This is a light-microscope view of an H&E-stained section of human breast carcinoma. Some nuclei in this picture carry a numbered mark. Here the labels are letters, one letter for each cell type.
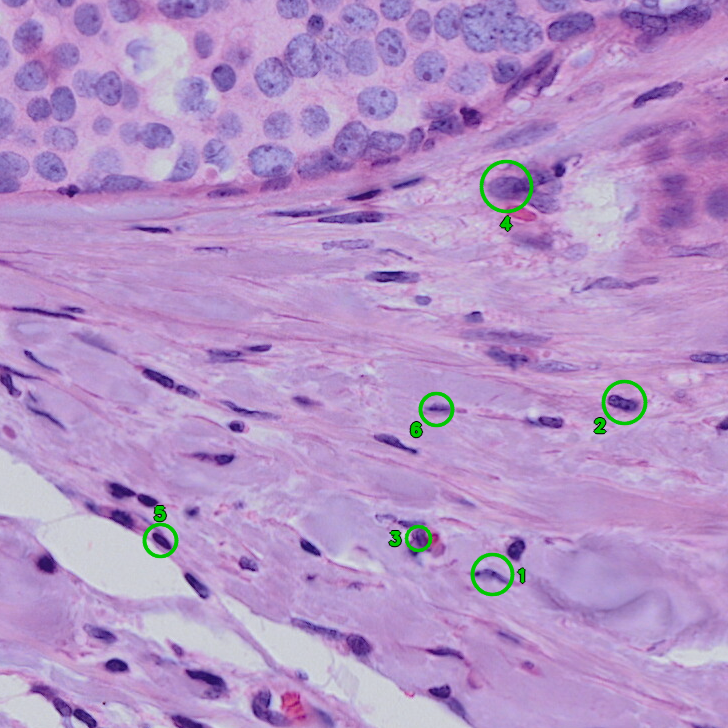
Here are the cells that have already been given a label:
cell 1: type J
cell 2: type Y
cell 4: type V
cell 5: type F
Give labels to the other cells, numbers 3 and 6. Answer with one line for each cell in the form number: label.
3: type V
6: type J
